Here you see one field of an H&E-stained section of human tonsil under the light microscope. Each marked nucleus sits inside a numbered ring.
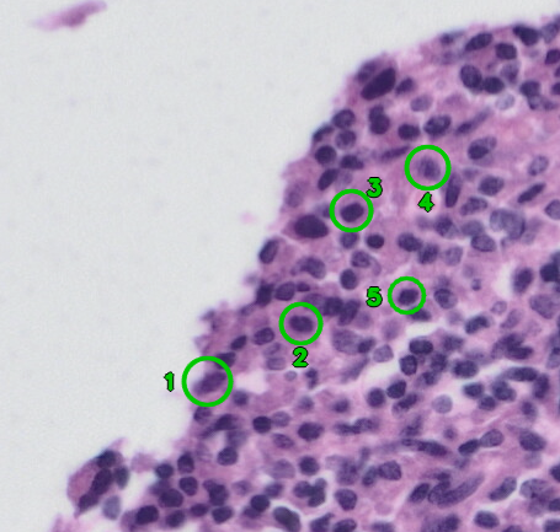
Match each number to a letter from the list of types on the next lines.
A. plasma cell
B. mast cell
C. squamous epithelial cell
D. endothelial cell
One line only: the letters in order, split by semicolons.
C; A; A; D; A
